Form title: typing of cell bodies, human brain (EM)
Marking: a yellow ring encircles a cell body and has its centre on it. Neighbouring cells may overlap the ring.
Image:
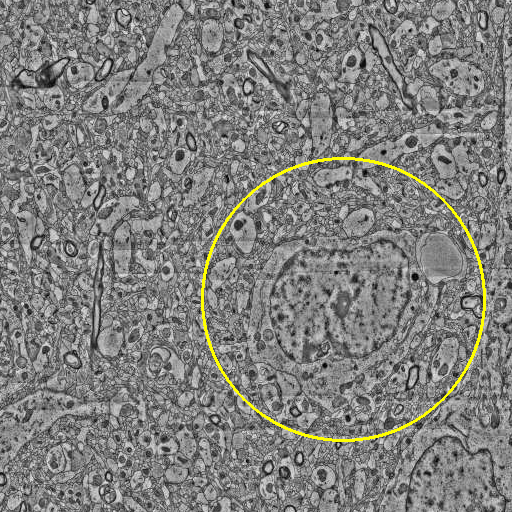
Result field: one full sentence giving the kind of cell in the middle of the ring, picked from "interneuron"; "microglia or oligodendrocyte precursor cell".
In the picture, the ring is centred on an interneuron, whose cell body it encircles.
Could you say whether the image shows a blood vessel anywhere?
No.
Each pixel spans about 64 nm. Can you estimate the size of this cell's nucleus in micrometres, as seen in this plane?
Approximately 10 by 8 micrometers in this plane.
